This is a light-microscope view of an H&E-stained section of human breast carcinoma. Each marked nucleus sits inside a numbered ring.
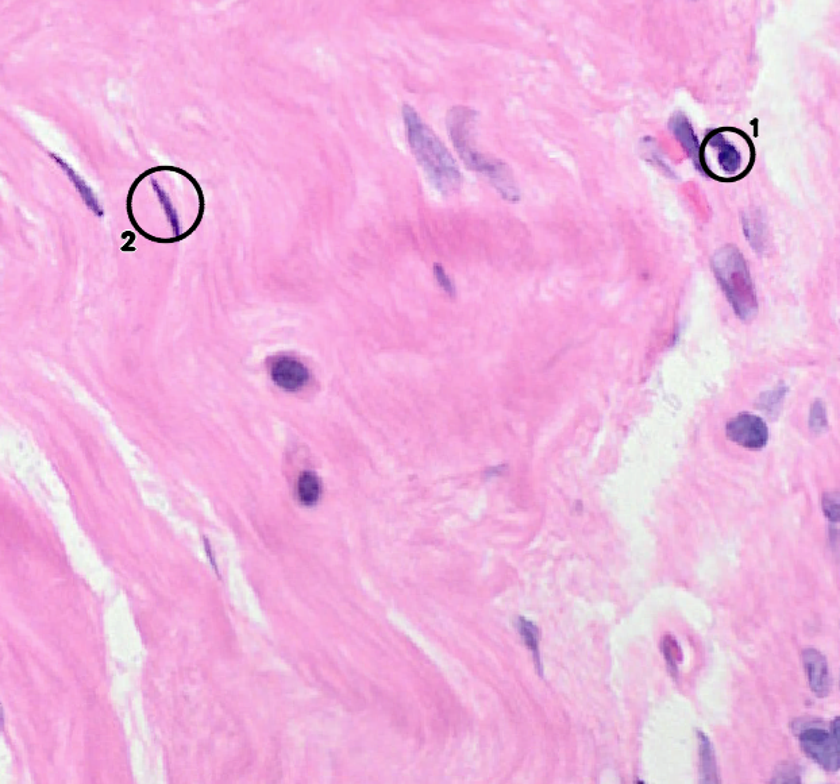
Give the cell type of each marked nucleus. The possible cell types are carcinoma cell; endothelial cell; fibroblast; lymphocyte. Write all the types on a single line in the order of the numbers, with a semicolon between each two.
lymphocyte; fibroblast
